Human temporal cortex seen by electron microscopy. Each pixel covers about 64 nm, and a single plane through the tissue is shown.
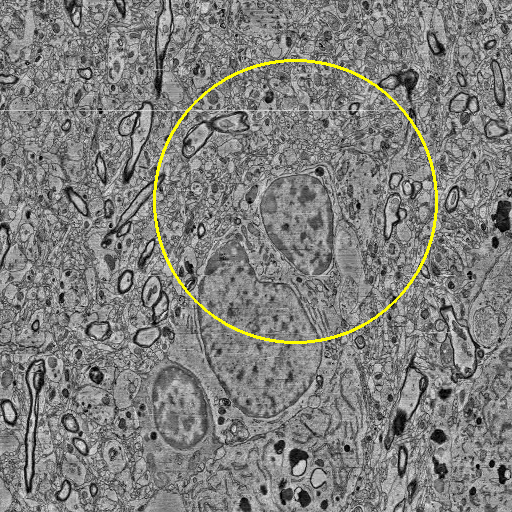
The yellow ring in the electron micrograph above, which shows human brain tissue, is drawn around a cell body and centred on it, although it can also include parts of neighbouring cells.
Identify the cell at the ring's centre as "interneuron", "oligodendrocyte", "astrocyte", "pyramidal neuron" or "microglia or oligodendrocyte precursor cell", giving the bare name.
microglia or oligodendrocyte precursor cell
